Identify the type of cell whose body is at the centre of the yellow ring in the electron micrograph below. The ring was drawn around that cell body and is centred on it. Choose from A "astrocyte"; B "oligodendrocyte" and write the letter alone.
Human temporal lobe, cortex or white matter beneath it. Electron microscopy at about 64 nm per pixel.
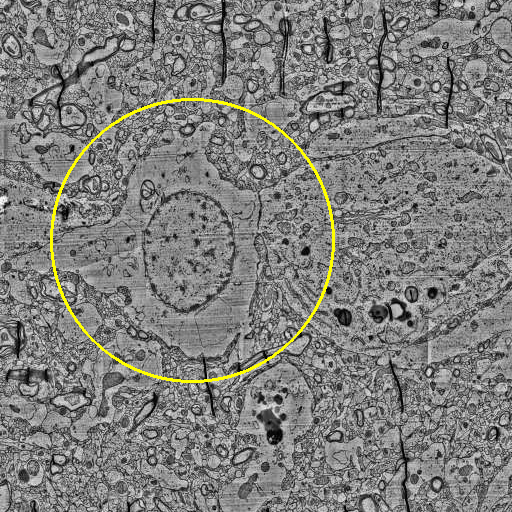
A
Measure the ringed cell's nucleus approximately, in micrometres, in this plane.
In this plane the nucleus spans approximately 8 by 6 micrometers.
